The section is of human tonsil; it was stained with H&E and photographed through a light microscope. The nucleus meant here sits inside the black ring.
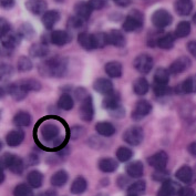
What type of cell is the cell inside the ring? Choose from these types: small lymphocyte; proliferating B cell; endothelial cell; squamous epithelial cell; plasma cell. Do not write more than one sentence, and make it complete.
As far as its identity is concerned, the cell inside the ring is a small lymphocyte.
